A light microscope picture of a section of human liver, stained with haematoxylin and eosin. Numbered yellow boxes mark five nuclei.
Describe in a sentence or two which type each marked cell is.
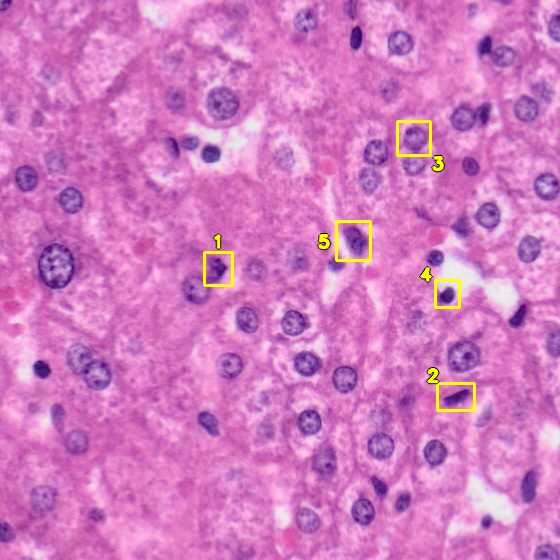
Cell 1 is an endothelial cell. Cell 2 is a fibroblast or stellate cell. Cell 3 is a hepatocyte. Cell 4 is a lymphocyte. Cell 5 is a Kupffer cell.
